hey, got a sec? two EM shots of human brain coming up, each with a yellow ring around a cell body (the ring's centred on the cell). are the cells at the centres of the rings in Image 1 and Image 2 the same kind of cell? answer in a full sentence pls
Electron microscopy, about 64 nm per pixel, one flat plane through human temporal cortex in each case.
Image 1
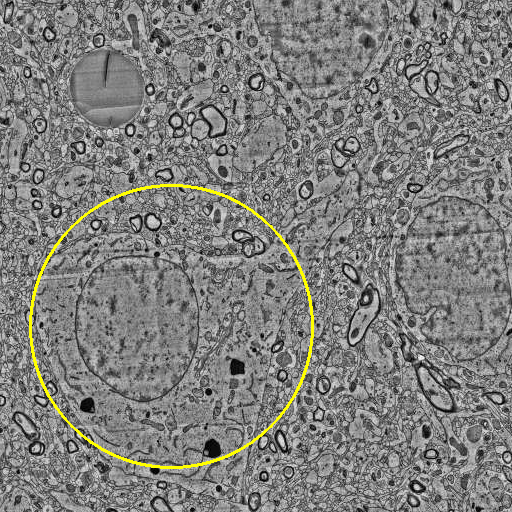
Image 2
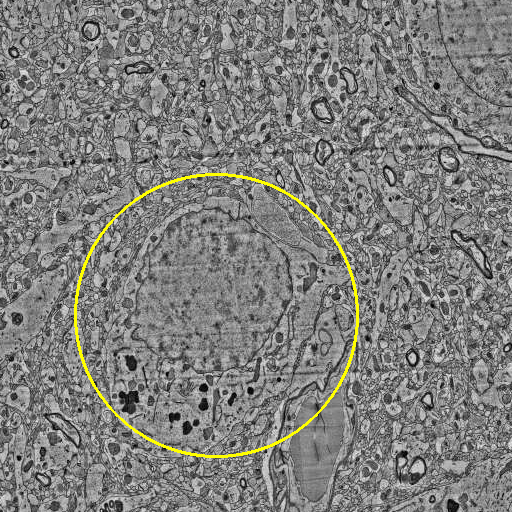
No, they are two kinds of cell.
